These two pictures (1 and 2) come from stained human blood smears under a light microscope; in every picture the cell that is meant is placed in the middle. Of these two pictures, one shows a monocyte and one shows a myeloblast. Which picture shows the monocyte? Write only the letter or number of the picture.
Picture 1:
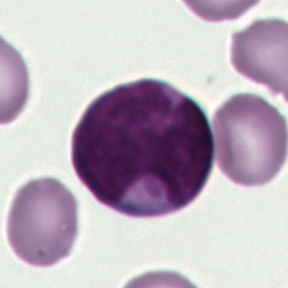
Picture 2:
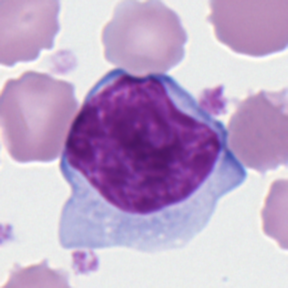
2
